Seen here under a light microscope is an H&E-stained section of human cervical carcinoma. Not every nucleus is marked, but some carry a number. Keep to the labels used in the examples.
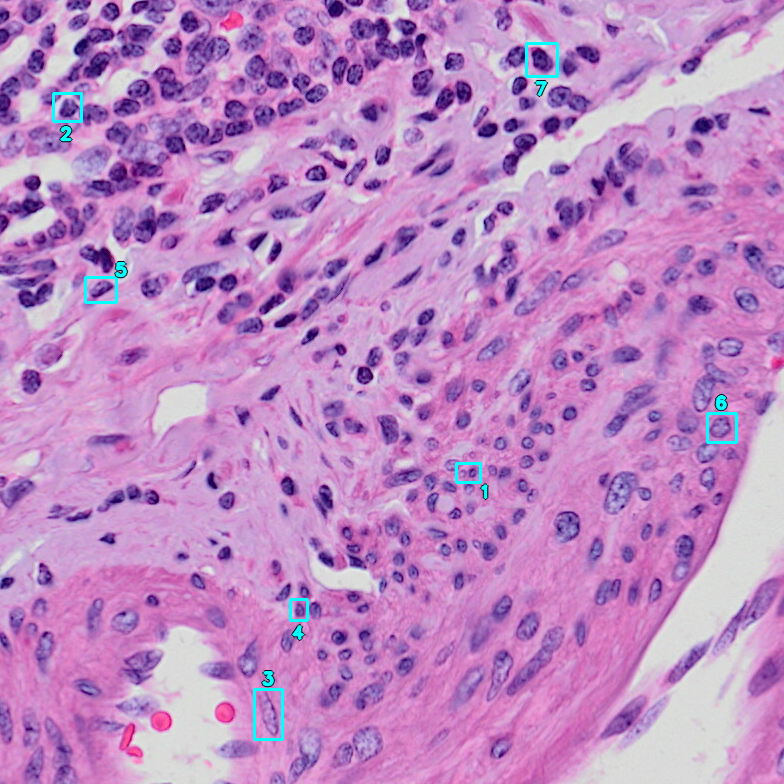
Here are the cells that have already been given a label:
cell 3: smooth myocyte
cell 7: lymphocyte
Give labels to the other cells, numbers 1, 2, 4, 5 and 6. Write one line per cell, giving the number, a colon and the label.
1: smooth myocyte
2: lymphocyte
4: smooth myocyte
5: lymphocyte
6: smooth myocyte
